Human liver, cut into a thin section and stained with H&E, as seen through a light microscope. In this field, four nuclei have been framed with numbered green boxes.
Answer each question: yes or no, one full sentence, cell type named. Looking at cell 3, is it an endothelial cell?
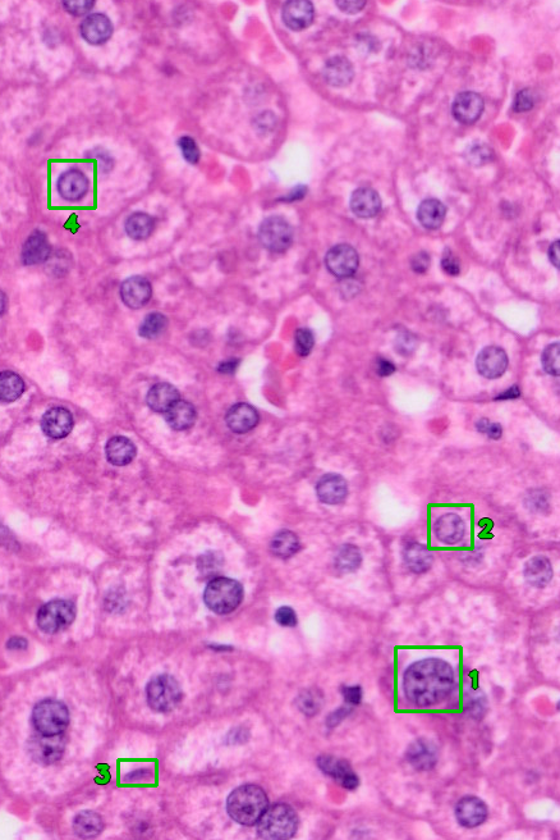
Yes, looking at number 3, that cell is an endothelial cell.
